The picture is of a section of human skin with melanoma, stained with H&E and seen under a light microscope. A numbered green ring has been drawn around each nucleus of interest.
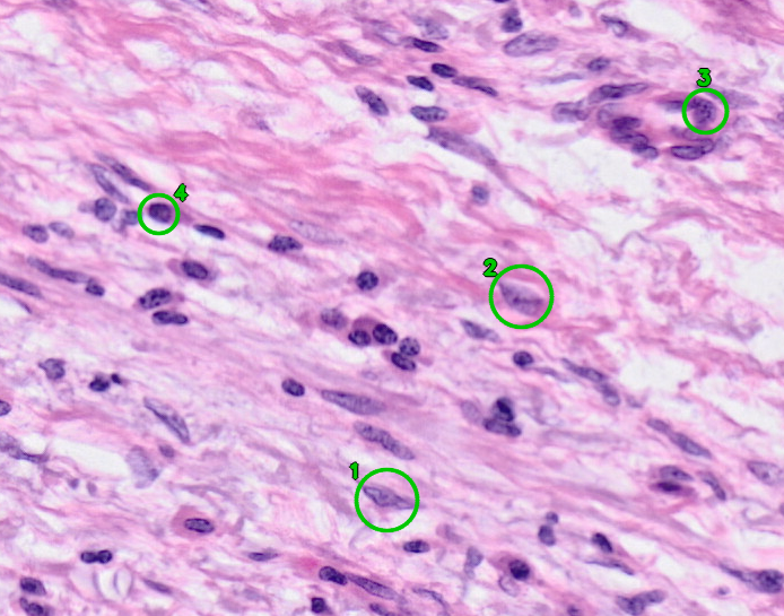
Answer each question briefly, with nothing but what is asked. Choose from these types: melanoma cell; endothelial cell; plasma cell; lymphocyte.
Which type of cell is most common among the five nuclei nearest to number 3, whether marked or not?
endothelial cell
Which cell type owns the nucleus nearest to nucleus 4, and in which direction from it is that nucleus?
a lymphocyte to the left of nucleus 4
